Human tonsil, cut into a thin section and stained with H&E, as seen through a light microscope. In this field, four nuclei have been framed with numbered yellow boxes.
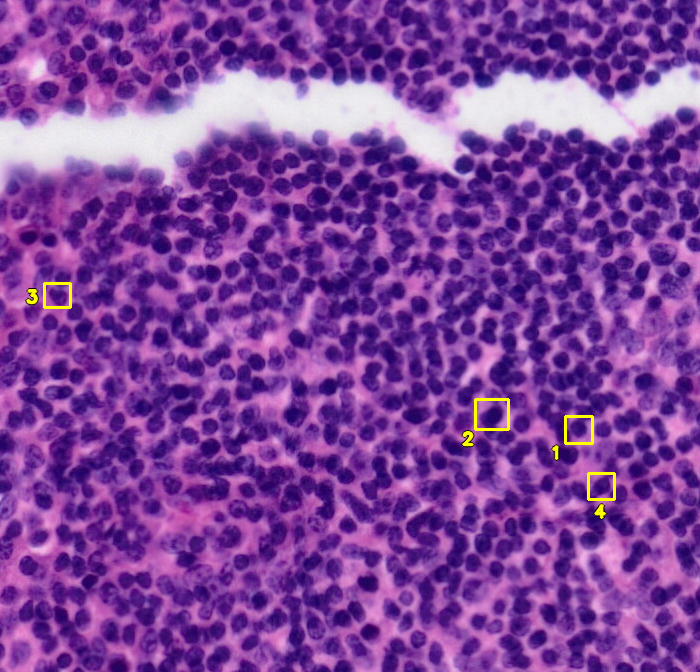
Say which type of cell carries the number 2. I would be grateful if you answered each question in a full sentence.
The one numbered 2 among the marked cells is a small lymphocyte.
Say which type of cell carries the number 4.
Heads up, the cell numbered 4 is a small lymphocyte.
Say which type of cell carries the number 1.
In the marked set, the cell given number 1 is a small lymphocyte.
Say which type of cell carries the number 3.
Number 3 among the marked cells is a plasma cell.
